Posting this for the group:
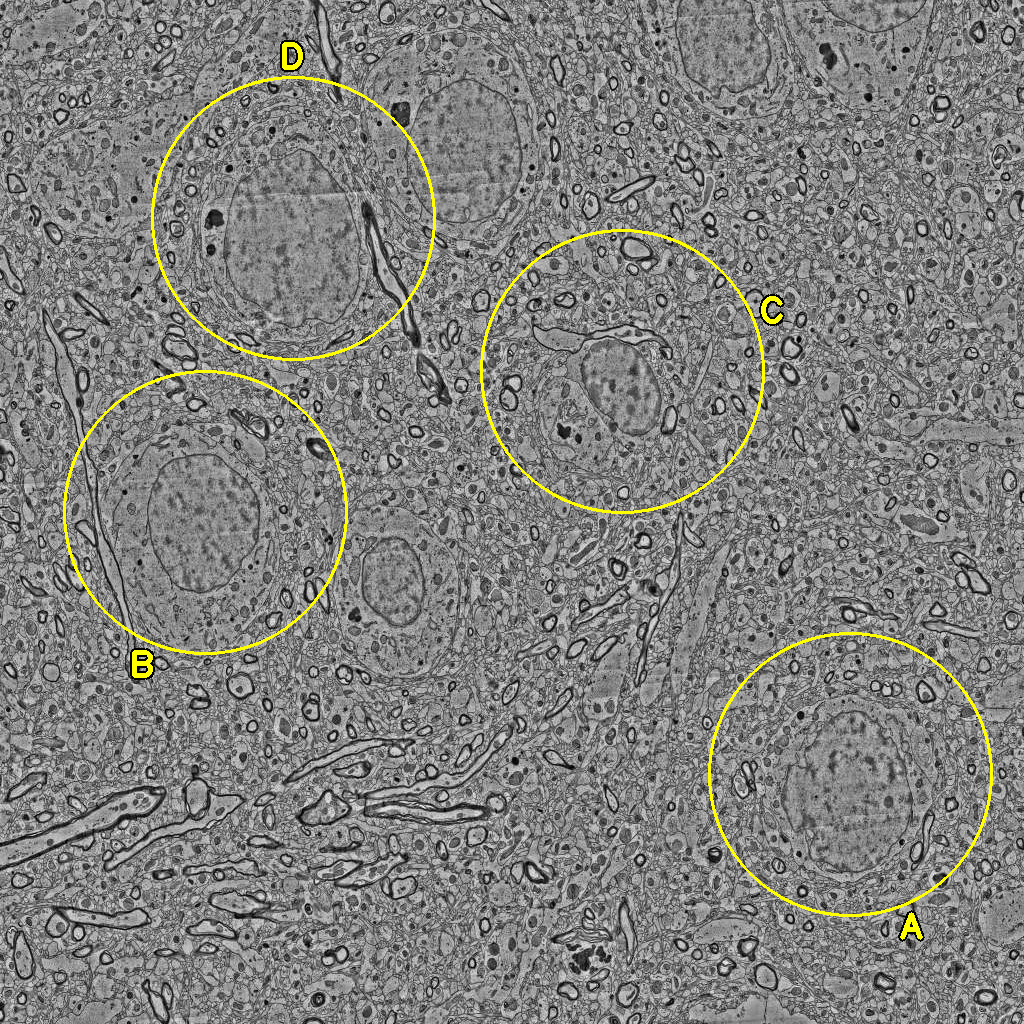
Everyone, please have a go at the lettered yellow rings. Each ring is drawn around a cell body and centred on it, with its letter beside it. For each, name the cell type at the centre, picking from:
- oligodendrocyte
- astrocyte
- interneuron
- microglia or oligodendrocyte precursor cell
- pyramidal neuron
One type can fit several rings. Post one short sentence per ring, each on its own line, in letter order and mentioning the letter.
My call for ring A is an interneuron.
My call for ring B is a pyramidal neuron.
My call for ring C is an oligodendrocyte.
My call for ring D is a pyramidal neuron.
